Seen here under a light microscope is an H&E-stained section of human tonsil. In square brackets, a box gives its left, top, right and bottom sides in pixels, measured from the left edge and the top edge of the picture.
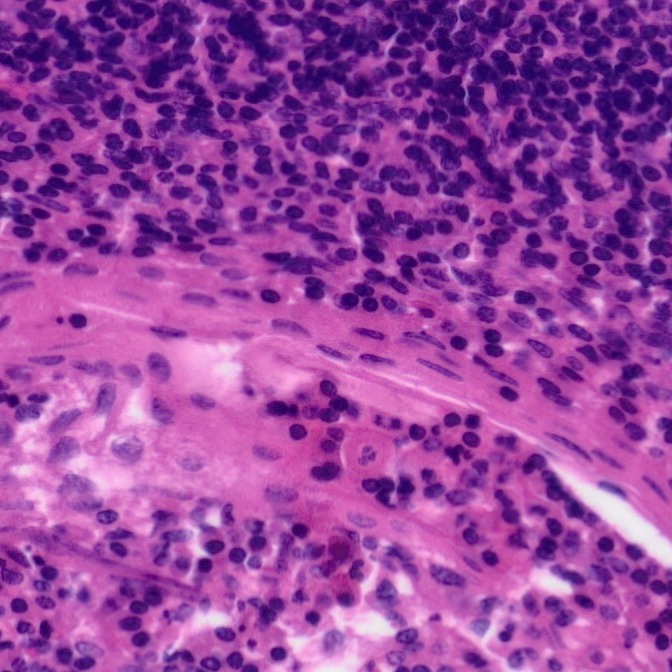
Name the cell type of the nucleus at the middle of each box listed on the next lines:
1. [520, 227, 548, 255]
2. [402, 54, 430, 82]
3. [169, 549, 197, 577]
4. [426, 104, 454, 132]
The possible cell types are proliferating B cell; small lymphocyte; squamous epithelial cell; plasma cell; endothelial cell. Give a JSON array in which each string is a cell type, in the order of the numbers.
["plasma cell", "small lymphocyte", "plasma cell", "small lymphocyte"]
